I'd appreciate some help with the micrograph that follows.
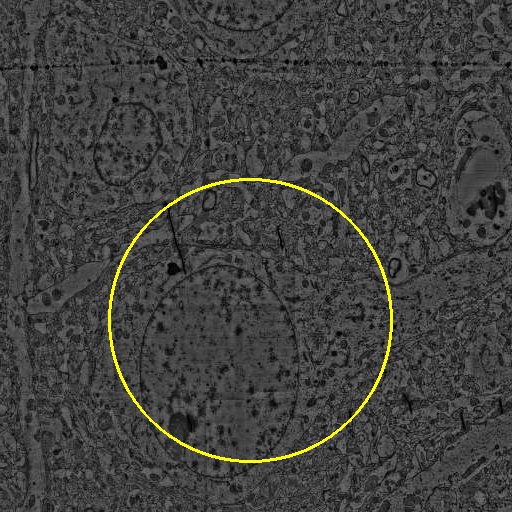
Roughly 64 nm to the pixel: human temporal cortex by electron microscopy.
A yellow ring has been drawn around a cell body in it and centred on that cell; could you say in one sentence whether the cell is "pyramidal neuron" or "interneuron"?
It is a pyramidal neuron at the centre of the ring.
